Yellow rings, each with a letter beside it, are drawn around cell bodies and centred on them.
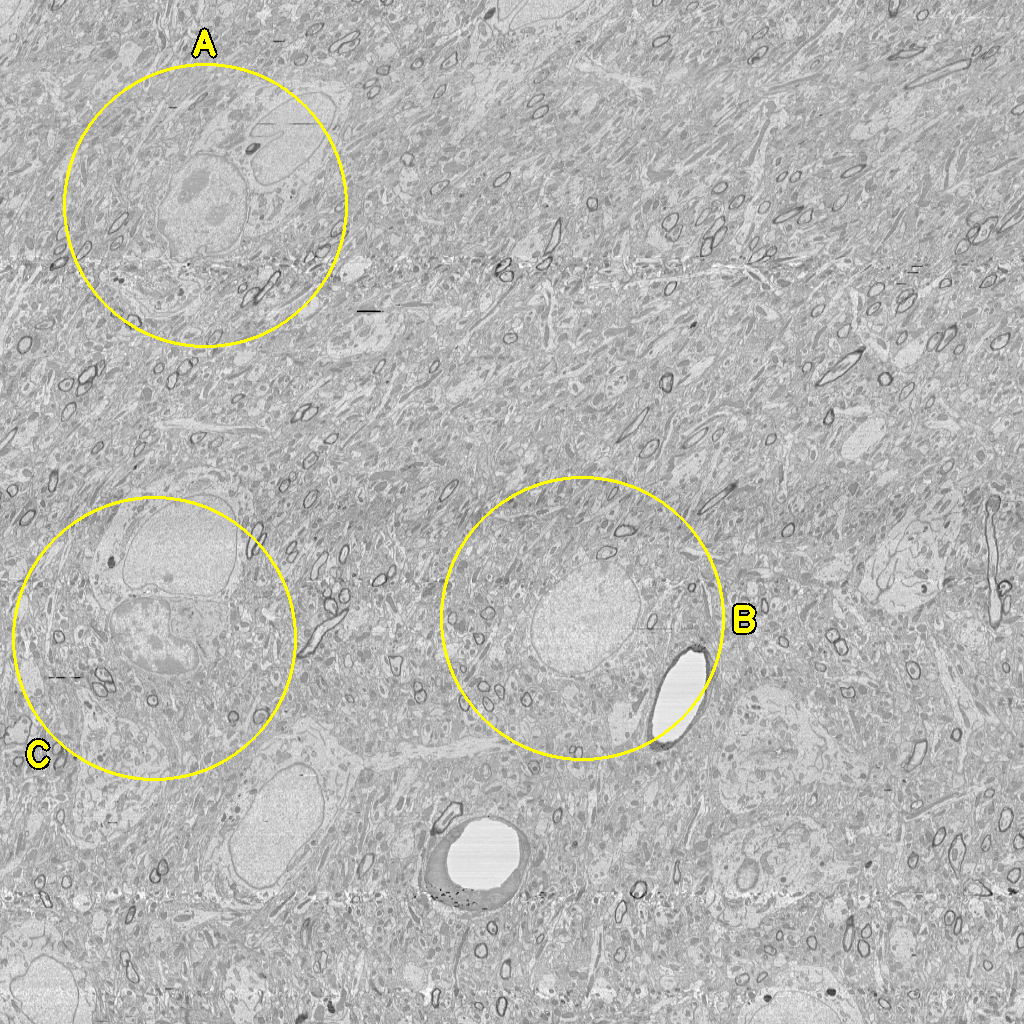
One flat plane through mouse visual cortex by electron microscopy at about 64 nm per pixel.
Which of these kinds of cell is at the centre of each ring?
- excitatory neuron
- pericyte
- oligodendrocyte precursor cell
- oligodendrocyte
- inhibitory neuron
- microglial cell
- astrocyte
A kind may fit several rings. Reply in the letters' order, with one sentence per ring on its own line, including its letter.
The cell in the middle of ring A is an oligodendrocyte precursor cell.
The cell in the middle of ring B is an astrocyte.
The cell in the middle of ring C is an oligodendrocyte.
